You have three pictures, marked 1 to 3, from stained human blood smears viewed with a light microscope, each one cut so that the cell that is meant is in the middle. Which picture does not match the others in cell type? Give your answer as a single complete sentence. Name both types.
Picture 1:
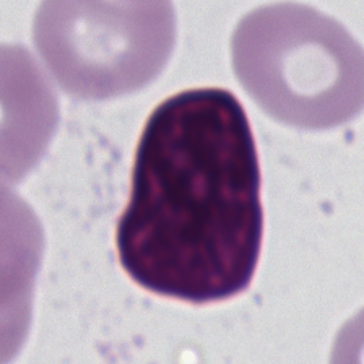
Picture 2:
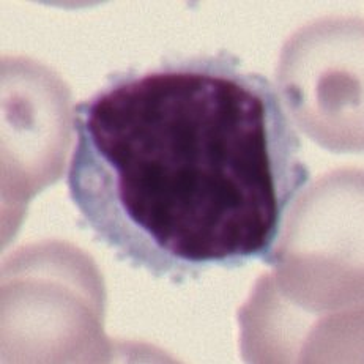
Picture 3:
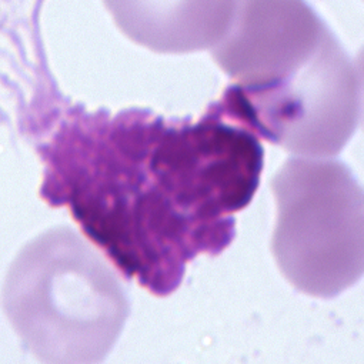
Picture 2 differs, because its cell is a typical lymphocyte and the rest are smudge cells.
